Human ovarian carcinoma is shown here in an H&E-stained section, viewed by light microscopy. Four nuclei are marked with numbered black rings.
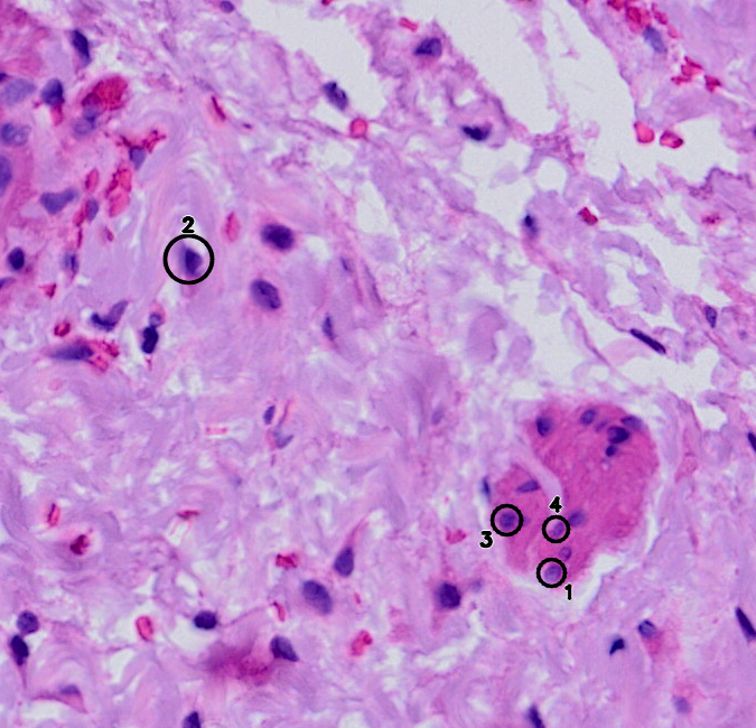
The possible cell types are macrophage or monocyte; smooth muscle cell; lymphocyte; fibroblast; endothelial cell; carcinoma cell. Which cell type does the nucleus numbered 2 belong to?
fibroblast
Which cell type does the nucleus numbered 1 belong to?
smooth muscle cell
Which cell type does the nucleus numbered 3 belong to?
smooth muscle cell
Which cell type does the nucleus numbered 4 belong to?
smooth muscle cell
